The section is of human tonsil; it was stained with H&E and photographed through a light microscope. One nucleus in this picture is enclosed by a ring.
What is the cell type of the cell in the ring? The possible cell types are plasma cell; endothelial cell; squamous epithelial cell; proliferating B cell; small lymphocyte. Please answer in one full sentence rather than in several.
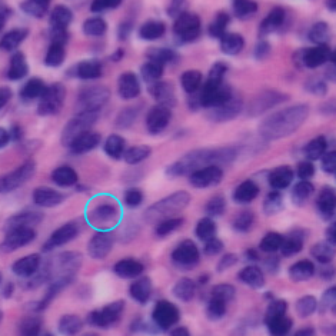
As to its cell type, the cell in the ring is an endothelial cell.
